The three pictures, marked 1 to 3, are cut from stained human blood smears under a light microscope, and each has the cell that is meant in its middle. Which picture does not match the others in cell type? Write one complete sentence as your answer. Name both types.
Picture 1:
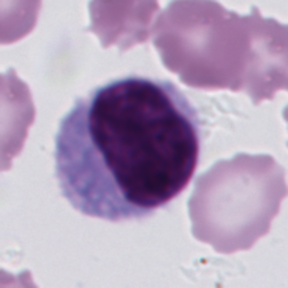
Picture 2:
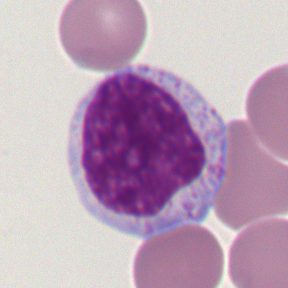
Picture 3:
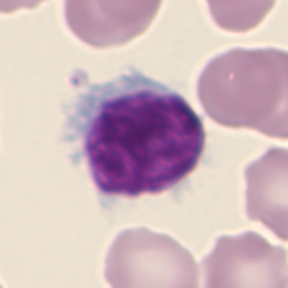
All pictures except 2 show hairy cells; picture 2 shows a large granular lymphocyte.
